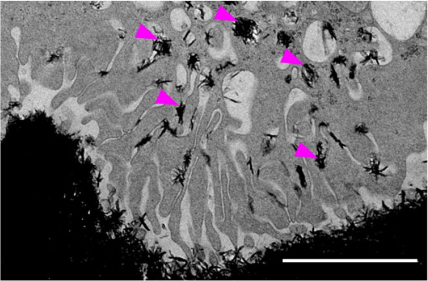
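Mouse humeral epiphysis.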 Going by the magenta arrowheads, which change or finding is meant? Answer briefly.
electron-dense material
